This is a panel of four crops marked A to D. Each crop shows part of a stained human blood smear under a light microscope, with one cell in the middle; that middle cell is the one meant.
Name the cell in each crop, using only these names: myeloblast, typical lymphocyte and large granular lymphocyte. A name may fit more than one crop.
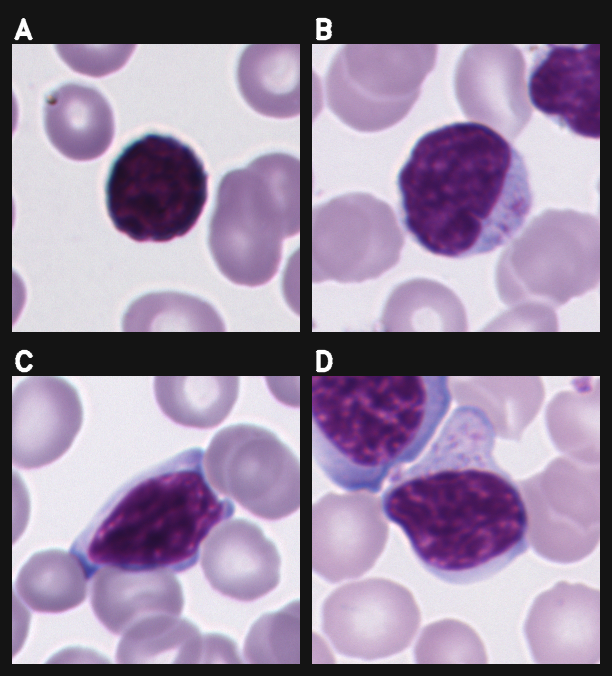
A: myeloblast
B: large granular lymphocyte
C: typical lymphocyte
D: large granular lymphocyte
